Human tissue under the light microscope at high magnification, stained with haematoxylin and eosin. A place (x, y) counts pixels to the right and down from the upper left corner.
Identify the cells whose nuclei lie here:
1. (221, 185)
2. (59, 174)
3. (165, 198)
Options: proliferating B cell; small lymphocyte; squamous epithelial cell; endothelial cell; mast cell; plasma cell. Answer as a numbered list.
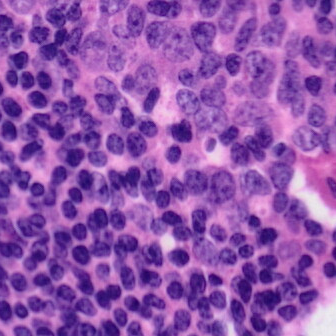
1. proliferating B cell
2. small lymphocyte
3. small lymphocyte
